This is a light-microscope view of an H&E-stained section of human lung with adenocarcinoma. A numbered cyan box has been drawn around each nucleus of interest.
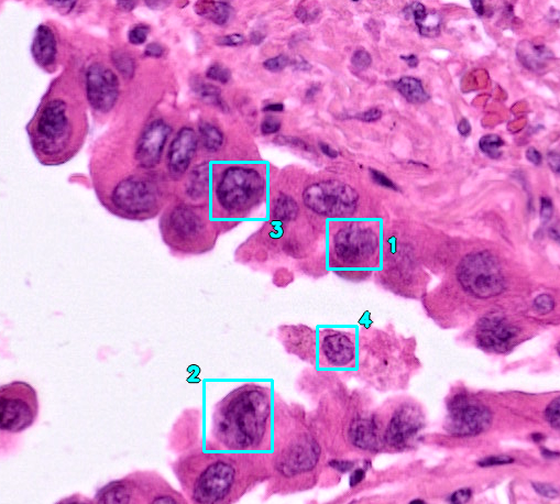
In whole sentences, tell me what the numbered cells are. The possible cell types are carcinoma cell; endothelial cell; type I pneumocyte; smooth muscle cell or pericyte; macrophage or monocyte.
Cells 1, 2 and 3 are carcinoma cells. Cell 4 is a macrophage or monocyte.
